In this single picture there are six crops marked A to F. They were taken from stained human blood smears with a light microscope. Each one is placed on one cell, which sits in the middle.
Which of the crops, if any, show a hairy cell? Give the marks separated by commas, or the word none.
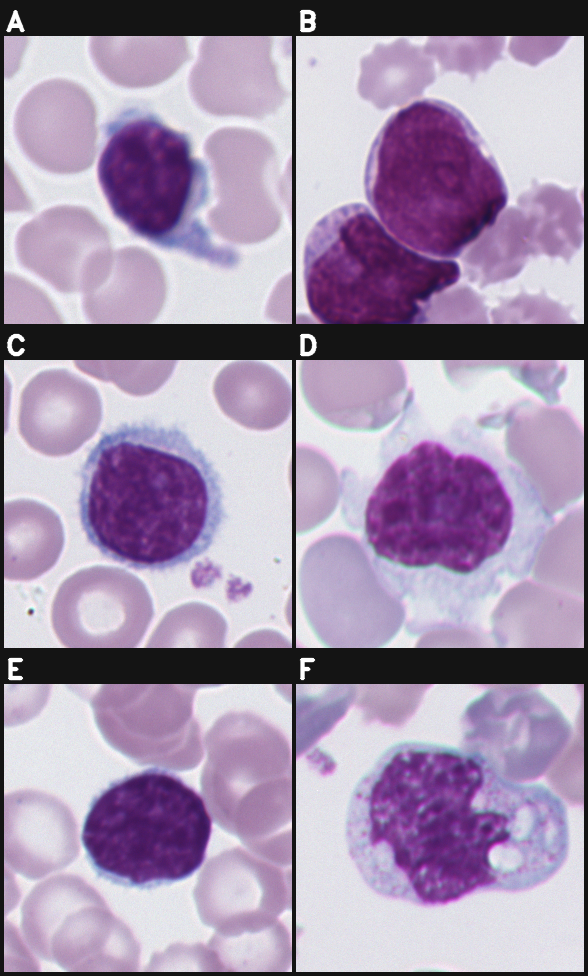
D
